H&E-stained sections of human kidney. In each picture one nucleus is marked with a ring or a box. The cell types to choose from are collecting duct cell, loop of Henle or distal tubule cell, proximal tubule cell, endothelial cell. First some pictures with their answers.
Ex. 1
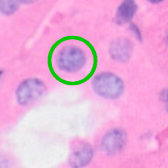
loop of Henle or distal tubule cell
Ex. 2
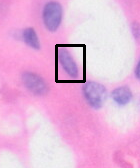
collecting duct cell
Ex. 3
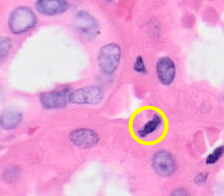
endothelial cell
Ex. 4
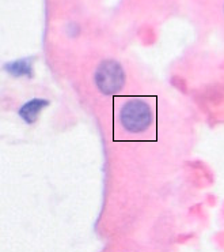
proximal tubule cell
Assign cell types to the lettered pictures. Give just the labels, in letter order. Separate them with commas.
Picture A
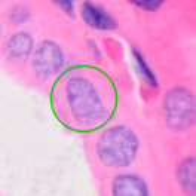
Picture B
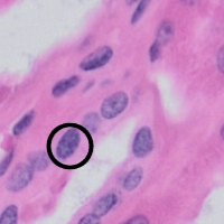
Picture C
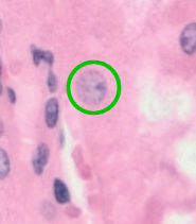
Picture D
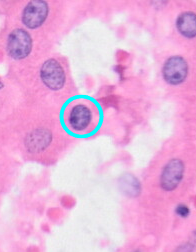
collecting duct cell, collecting duct cell, proximal tubule cell, proximal tubule cell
